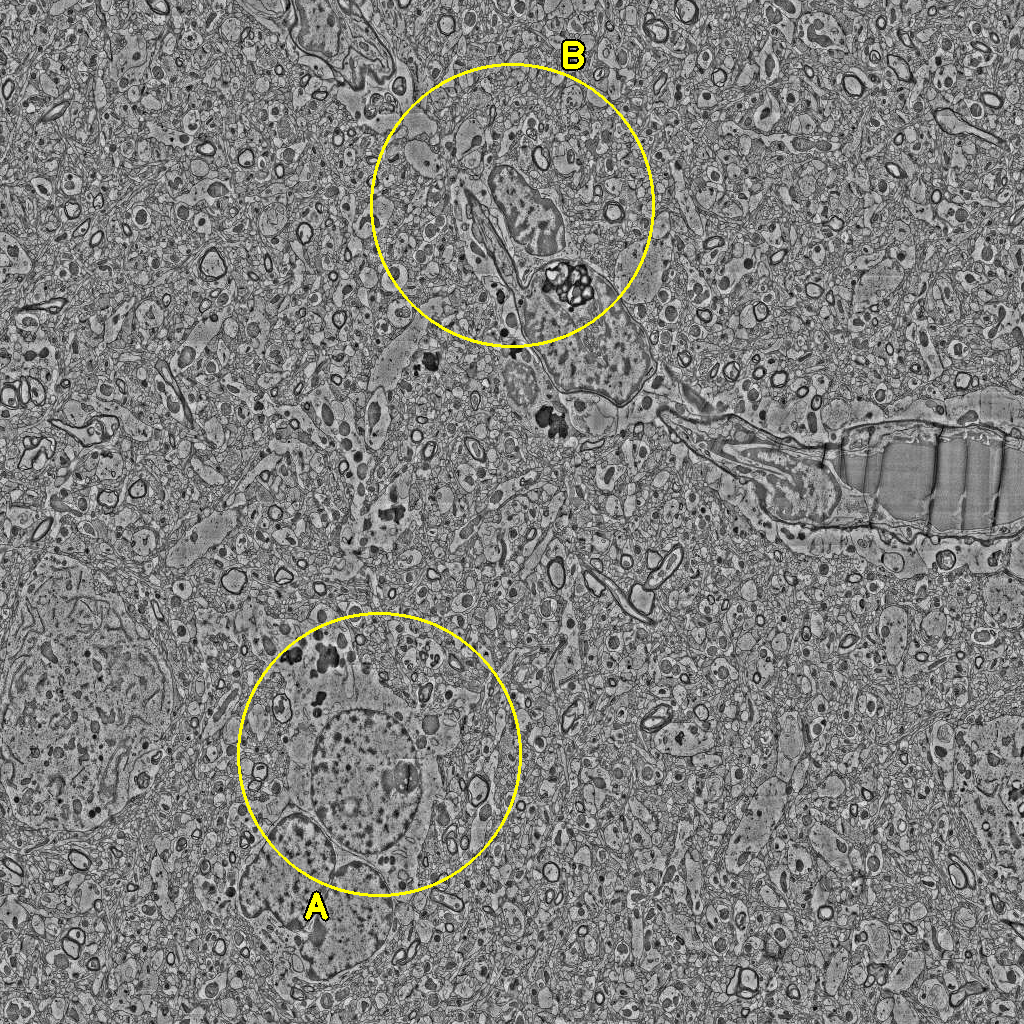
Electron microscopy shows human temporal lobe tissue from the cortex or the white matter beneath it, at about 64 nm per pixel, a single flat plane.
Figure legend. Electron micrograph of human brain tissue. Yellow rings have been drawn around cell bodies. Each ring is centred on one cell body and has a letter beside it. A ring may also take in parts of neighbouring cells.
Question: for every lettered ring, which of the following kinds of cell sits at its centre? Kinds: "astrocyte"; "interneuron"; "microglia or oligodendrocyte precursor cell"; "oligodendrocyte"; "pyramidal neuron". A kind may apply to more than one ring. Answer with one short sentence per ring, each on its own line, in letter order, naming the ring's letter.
Ring A is centred on an astrocyte.
Ring B is centred on a microglial cell or oligodendrocyte precursor cell.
